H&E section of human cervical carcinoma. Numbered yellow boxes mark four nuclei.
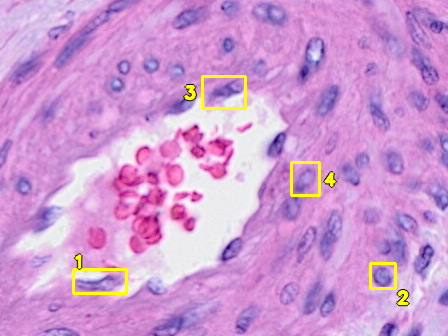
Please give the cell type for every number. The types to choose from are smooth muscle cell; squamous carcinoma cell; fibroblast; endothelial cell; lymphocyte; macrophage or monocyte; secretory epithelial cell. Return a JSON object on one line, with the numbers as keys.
{"1": "endothelial cell", "2": "smooth muscle cell", "3": "endothelial cell", "4": "smooth muscle cell"}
